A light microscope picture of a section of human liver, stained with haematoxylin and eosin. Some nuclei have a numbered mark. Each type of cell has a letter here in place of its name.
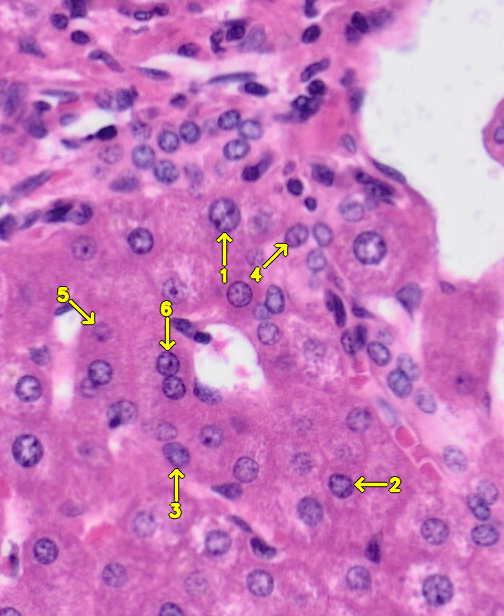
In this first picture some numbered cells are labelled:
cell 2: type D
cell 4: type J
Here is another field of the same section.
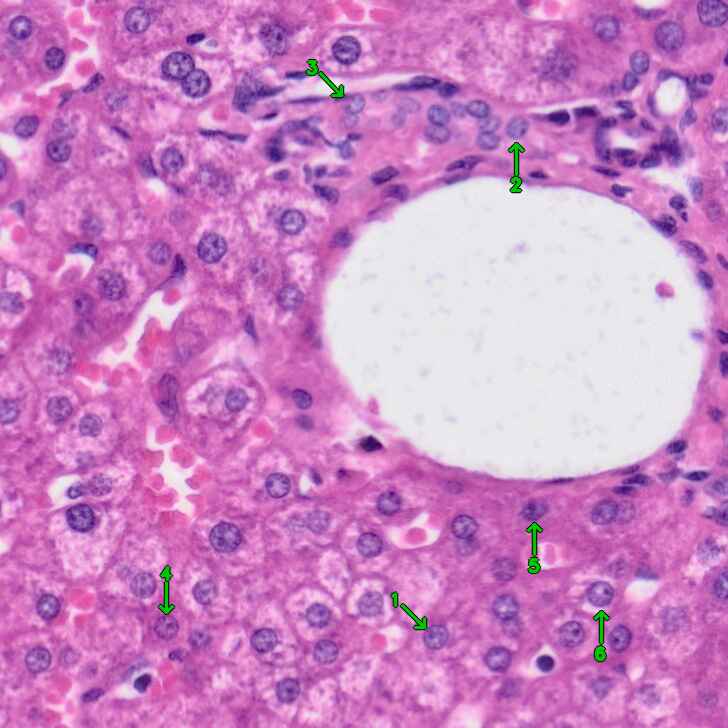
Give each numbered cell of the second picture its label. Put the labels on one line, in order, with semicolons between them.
type D; type J; type J; type D; type D; type D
